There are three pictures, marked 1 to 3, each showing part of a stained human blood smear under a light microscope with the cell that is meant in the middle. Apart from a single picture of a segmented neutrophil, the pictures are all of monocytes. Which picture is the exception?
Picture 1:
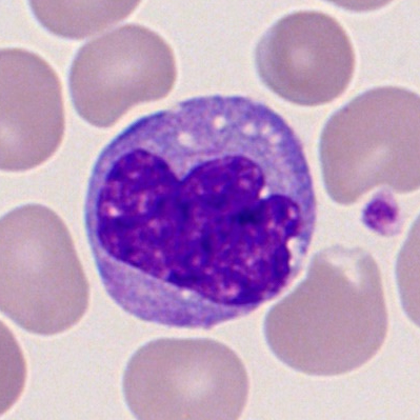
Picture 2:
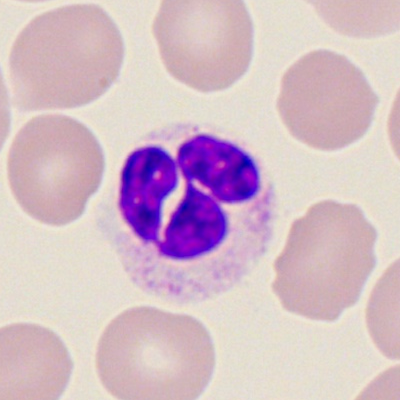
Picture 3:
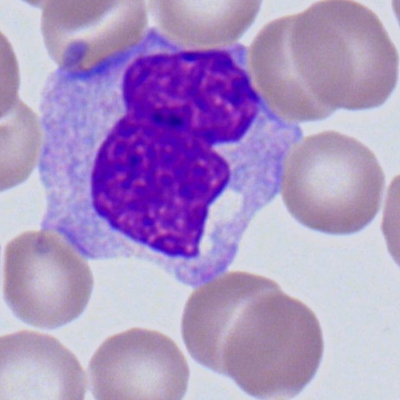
2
